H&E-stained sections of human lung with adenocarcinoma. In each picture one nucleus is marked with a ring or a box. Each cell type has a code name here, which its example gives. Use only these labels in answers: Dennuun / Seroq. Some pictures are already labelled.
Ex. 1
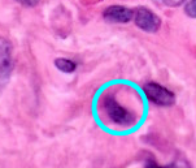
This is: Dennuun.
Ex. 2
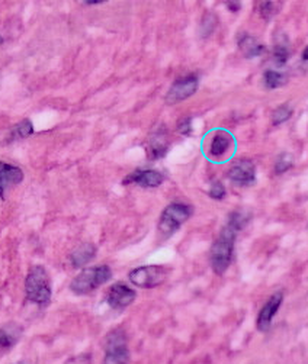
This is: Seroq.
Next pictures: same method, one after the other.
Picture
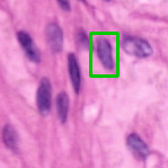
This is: Seroq.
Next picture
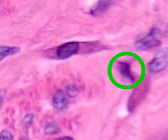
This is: Dennuun.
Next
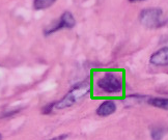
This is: Dennuun.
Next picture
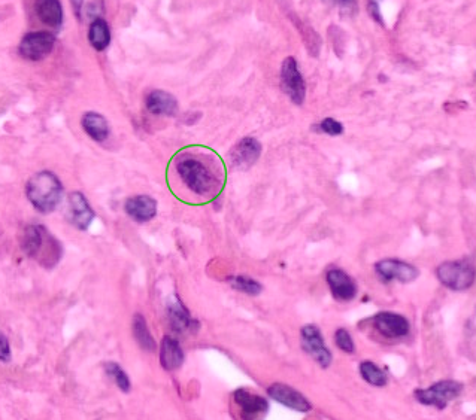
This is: Dennuun.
